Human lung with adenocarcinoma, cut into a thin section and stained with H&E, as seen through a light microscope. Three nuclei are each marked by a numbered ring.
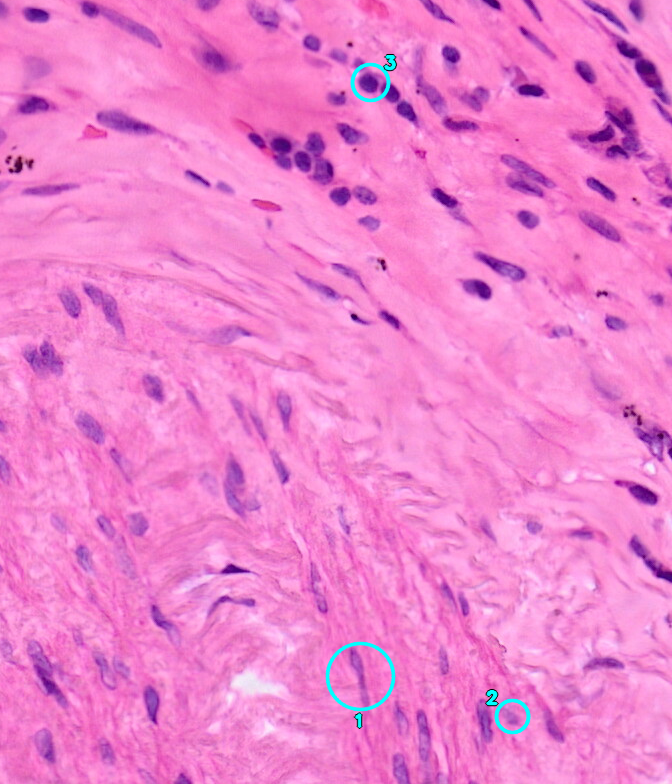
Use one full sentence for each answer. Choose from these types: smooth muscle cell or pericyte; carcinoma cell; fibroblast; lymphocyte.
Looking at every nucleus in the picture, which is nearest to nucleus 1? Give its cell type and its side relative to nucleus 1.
Just below and to the right of nucleus 1 lies the nearest nucleus, which belongs to a smooth muscle cell or pericyte.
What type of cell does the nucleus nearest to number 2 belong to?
The nearest nucleus to number 2 belongs to a smooth muscle cell or pericyte.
